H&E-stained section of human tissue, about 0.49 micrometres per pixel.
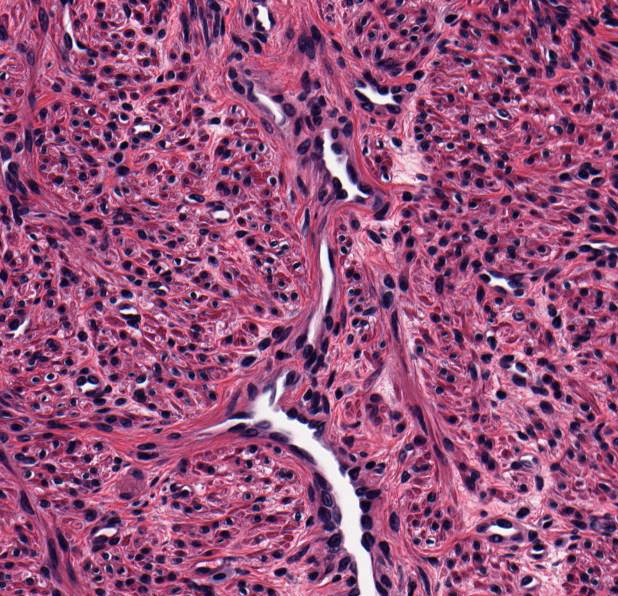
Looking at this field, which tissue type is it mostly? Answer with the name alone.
smooth muscle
